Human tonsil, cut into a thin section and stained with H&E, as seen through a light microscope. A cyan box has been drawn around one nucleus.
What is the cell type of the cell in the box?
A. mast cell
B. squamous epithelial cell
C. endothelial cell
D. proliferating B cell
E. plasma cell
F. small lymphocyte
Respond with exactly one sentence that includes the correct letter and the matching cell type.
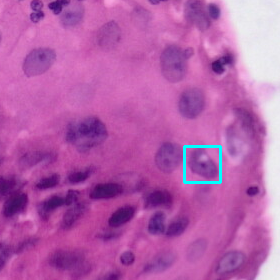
The correct option here, B, identifies the cell in the box as a squamous epithelial cell.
